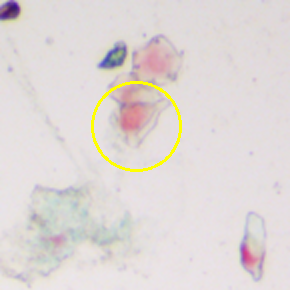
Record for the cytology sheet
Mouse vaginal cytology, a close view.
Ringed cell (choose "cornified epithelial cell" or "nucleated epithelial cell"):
nucleated epithelial cell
